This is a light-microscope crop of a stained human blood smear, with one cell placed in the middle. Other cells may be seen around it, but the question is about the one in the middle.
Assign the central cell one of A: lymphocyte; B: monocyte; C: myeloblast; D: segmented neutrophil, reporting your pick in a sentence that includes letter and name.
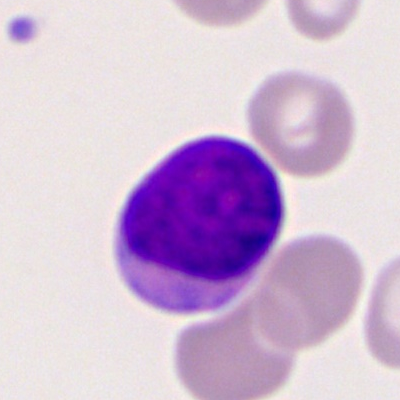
Well, the cell in the middle is a myeloblast, making option C right.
